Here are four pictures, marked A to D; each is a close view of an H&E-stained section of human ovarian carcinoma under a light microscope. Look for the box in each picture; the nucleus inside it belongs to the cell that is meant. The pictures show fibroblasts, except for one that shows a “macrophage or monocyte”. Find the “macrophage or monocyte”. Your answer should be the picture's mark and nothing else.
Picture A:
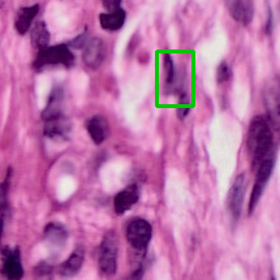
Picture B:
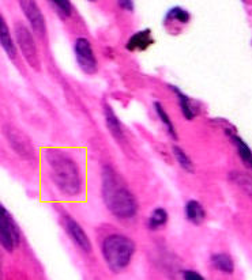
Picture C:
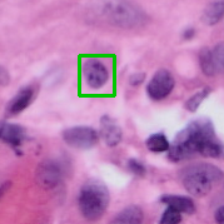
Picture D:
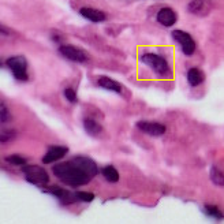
C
